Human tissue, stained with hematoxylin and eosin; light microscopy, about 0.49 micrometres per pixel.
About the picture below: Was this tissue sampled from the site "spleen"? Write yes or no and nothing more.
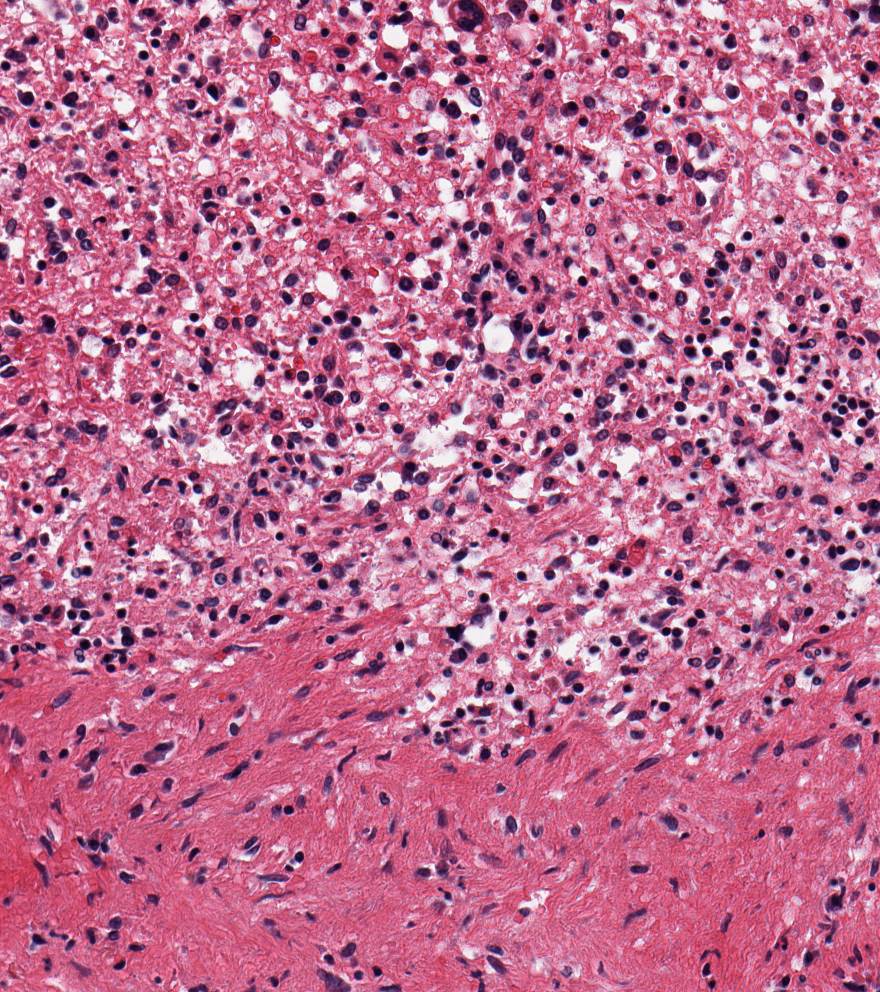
yes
